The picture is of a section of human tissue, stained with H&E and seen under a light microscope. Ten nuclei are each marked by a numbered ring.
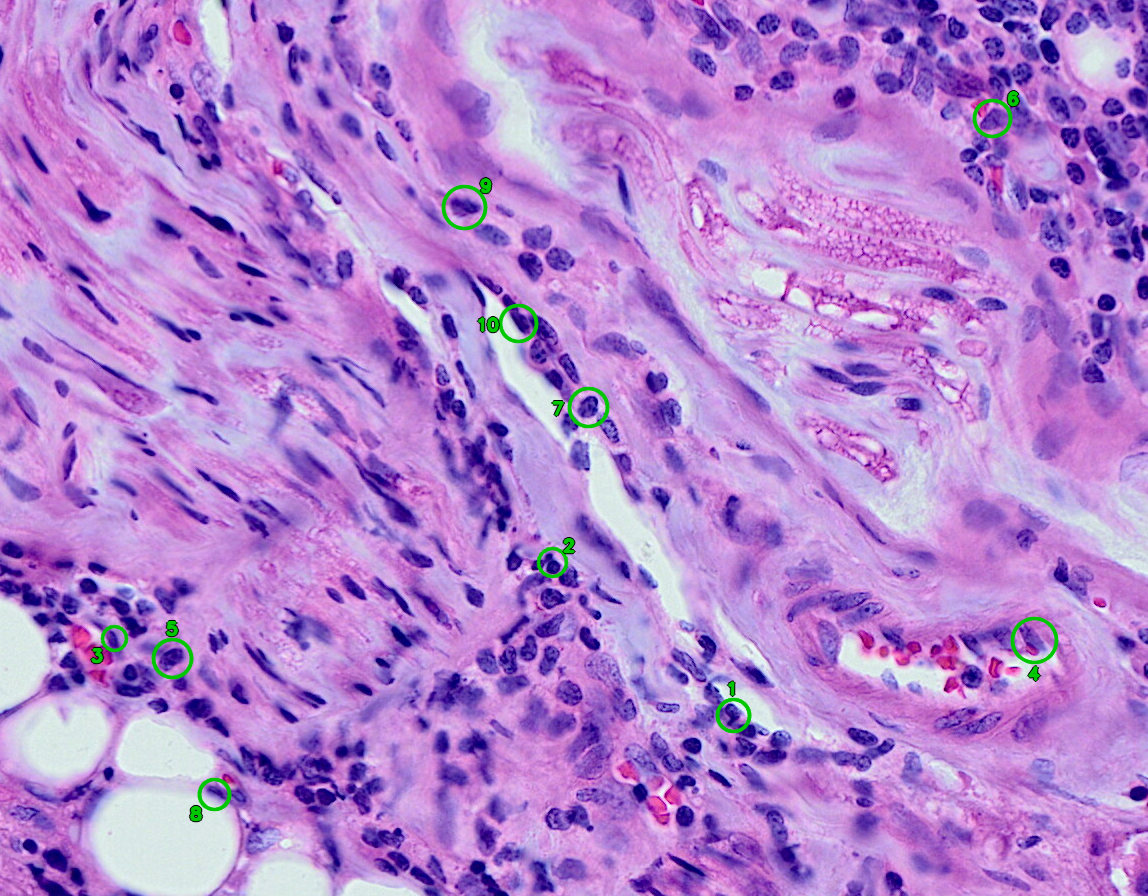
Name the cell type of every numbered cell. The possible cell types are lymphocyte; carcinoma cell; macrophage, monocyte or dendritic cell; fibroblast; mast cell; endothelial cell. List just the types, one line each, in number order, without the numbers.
lymphocyte
lymphocyte
endothelial cell
endothelial cell
lymphocyte
endothelial cell
lymphocyte
endothelial cell
lymphocyte
lymphocyte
